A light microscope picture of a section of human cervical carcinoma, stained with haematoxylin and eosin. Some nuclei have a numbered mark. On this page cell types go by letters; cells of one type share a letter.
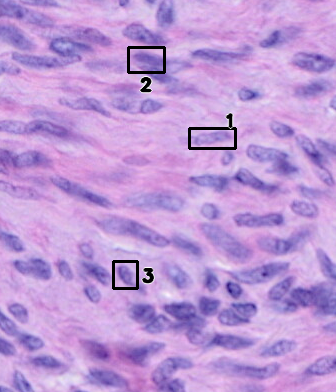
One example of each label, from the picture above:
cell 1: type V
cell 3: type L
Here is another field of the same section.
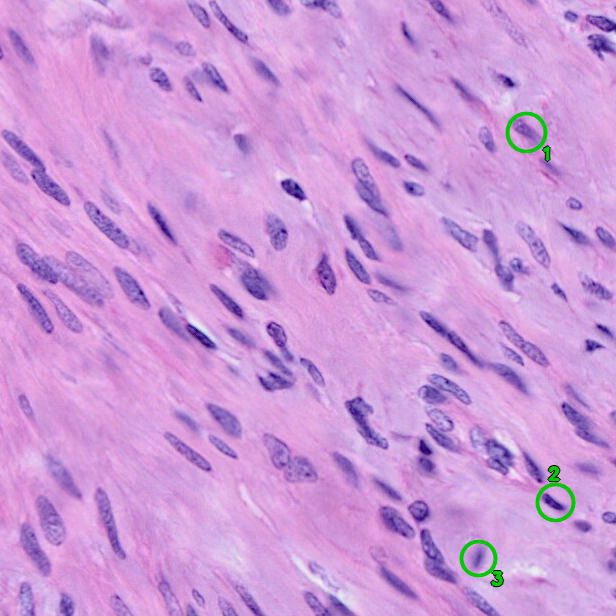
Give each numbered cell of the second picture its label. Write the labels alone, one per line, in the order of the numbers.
type V
type L
type L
